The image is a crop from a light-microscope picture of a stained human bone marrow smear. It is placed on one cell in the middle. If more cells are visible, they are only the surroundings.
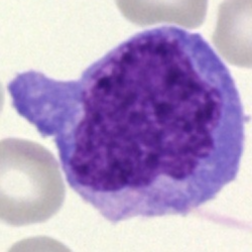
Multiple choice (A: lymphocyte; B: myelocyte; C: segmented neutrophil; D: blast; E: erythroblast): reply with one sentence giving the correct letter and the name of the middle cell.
The cell in the centre of the crop is a blast, so option D is the correct one.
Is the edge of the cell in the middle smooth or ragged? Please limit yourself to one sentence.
The cell margin is rough and uneven, either ragged or drawn into projections.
